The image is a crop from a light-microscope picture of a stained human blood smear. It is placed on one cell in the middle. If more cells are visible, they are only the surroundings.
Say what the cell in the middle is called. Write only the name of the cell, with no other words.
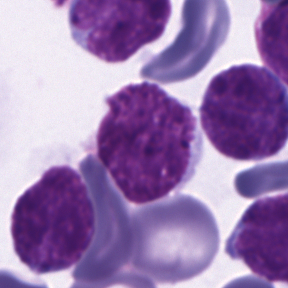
myeloblast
